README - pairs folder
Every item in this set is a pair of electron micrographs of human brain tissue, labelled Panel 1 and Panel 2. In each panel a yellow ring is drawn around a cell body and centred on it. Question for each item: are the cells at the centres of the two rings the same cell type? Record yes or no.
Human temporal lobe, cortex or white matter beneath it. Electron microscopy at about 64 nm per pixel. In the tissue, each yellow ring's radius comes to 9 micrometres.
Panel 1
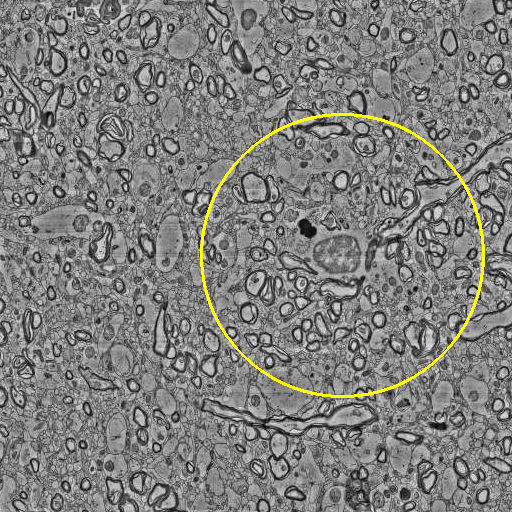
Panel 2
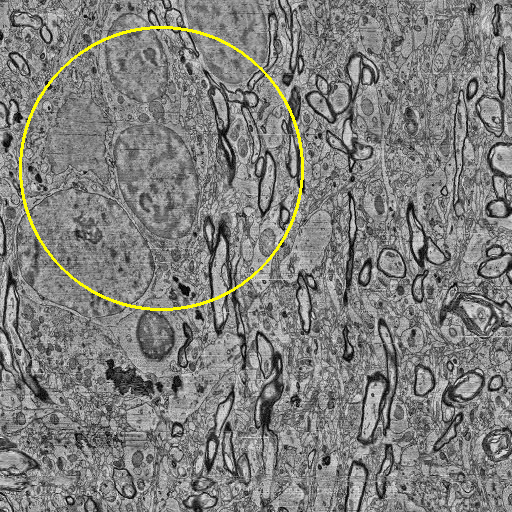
yes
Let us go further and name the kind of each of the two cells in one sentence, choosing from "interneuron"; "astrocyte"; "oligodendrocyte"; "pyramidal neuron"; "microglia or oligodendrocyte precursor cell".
The cell in the first picture is an oligodendrocyte, and so is the one in the second.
